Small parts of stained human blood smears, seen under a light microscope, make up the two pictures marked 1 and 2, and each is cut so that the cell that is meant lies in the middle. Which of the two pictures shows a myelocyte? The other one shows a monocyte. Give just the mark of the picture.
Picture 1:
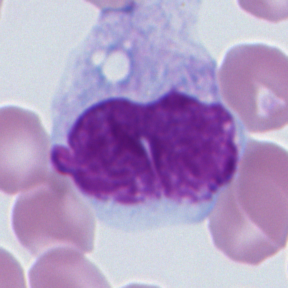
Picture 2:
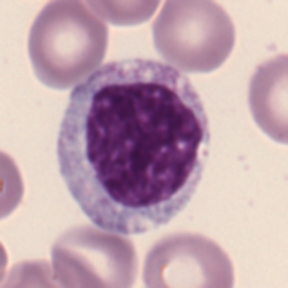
2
